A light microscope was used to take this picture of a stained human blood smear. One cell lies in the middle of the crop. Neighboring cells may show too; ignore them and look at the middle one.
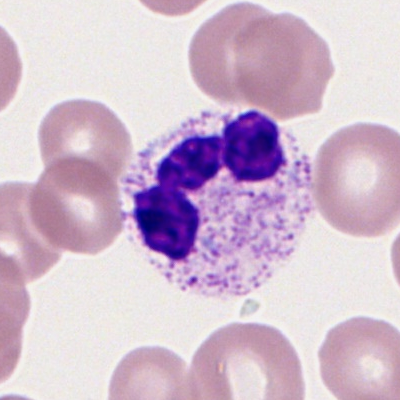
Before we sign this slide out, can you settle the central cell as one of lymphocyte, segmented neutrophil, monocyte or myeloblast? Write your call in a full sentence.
The cell of interest, in the center, is a segmented neutrophil.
